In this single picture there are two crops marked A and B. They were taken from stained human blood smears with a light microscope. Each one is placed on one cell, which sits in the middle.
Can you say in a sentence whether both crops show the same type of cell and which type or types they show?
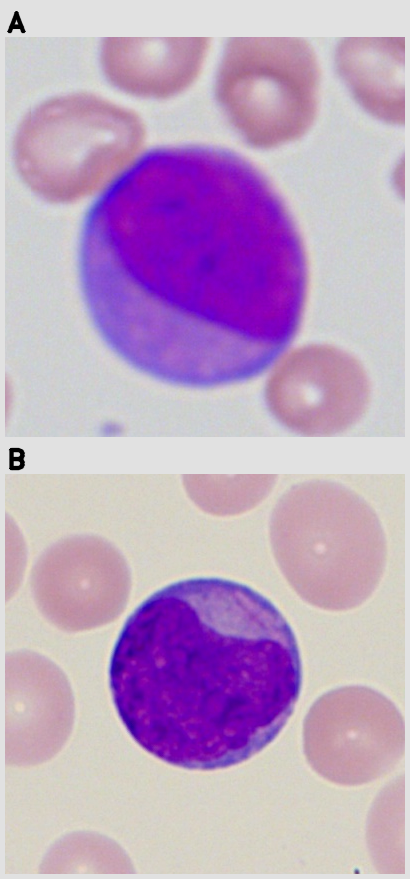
Yes, the two crops show myeloblasts, one cell each.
